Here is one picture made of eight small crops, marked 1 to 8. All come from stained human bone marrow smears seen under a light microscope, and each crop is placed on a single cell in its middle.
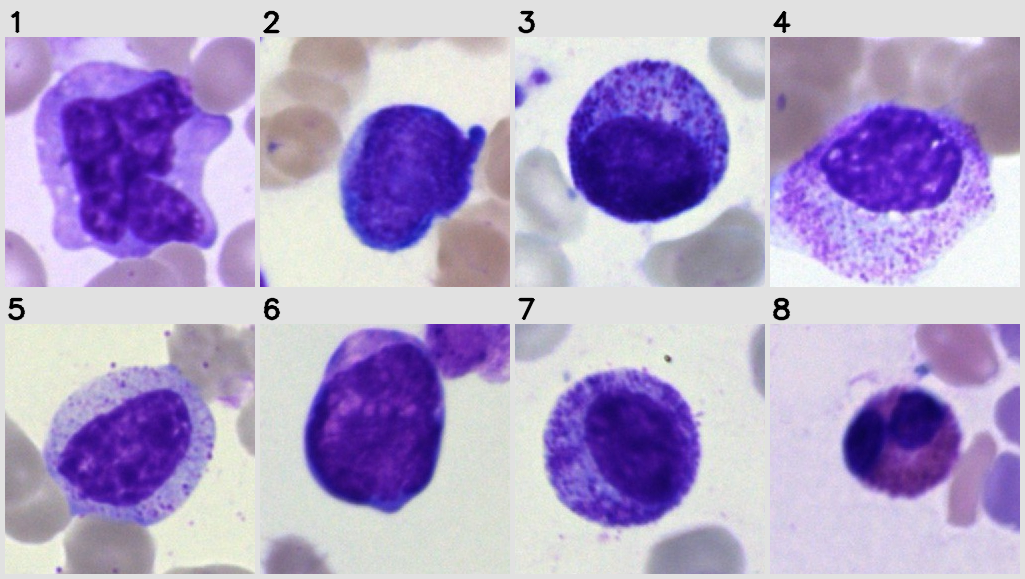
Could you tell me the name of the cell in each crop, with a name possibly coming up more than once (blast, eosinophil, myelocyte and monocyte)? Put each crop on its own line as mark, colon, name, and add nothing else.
1: monocyte
2: blast
3: myelocyte
4: myelocyte
5: myelocyte
6: blast
7: myelocyte
8: eosinophil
